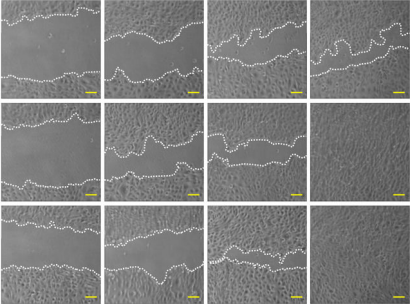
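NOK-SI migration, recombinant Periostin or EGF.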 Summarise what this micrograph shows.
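These are cultured keratinocytes growing as a continuous sheet of closely packed polygonal cells, with a cell-free scratch across the middle outlined by white dotted lines. Across the frames the gap narrows as the cell sheets advance from both edges; in the lower two rows it has closed completely in the last frame, while in the top row a wavy open gap still remains.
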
